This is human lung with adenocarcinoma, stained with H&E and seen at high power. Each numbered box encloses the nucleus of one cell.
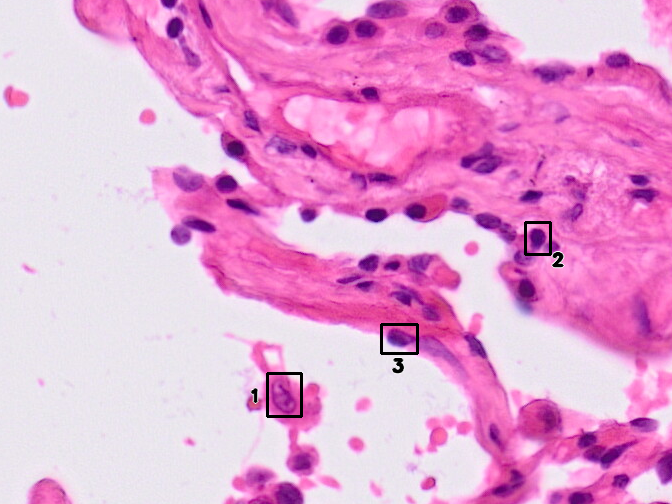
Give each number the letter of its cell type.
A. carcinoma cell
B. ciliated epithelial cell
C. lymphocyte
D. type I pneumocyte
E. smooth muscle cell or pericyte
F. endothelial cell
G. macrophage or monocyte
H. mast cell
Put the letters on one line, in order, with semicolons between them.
G; C; D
